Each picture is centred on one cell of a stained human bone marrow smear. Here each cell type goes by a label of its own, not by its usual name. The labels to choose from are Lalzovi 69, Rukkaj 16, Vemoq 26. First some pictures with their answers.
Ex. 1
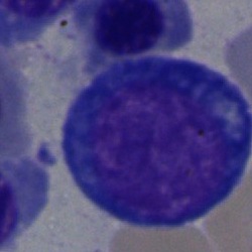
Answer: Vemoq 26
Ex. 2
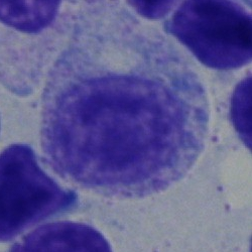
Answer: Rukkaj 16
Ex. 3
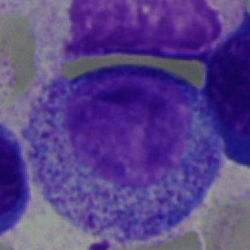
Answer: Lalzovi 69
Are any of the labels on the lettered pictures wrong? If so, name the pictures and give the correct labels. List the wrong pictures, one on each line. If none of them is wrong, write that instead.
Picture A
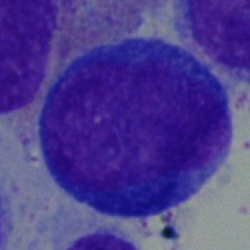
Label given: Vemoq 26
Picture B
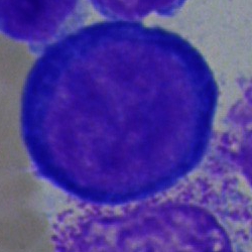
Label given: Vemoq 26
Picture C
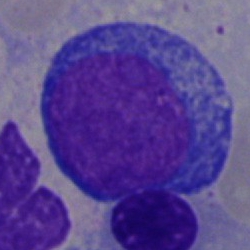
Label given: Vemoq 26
Nothing to fix; every label fits.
